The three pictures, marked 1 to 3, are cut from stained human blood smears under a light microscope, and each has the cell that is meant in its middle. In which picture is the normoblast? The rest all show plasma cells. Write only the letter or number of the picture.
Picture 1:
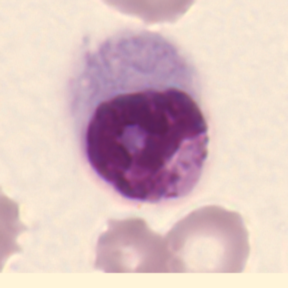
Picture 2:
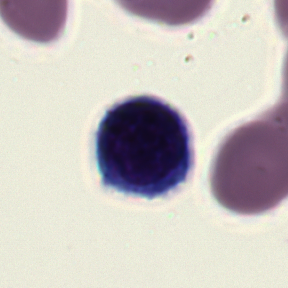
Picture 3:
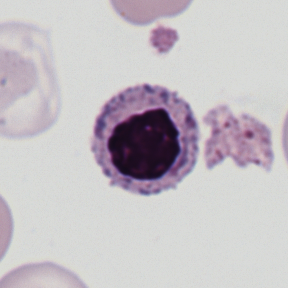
3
